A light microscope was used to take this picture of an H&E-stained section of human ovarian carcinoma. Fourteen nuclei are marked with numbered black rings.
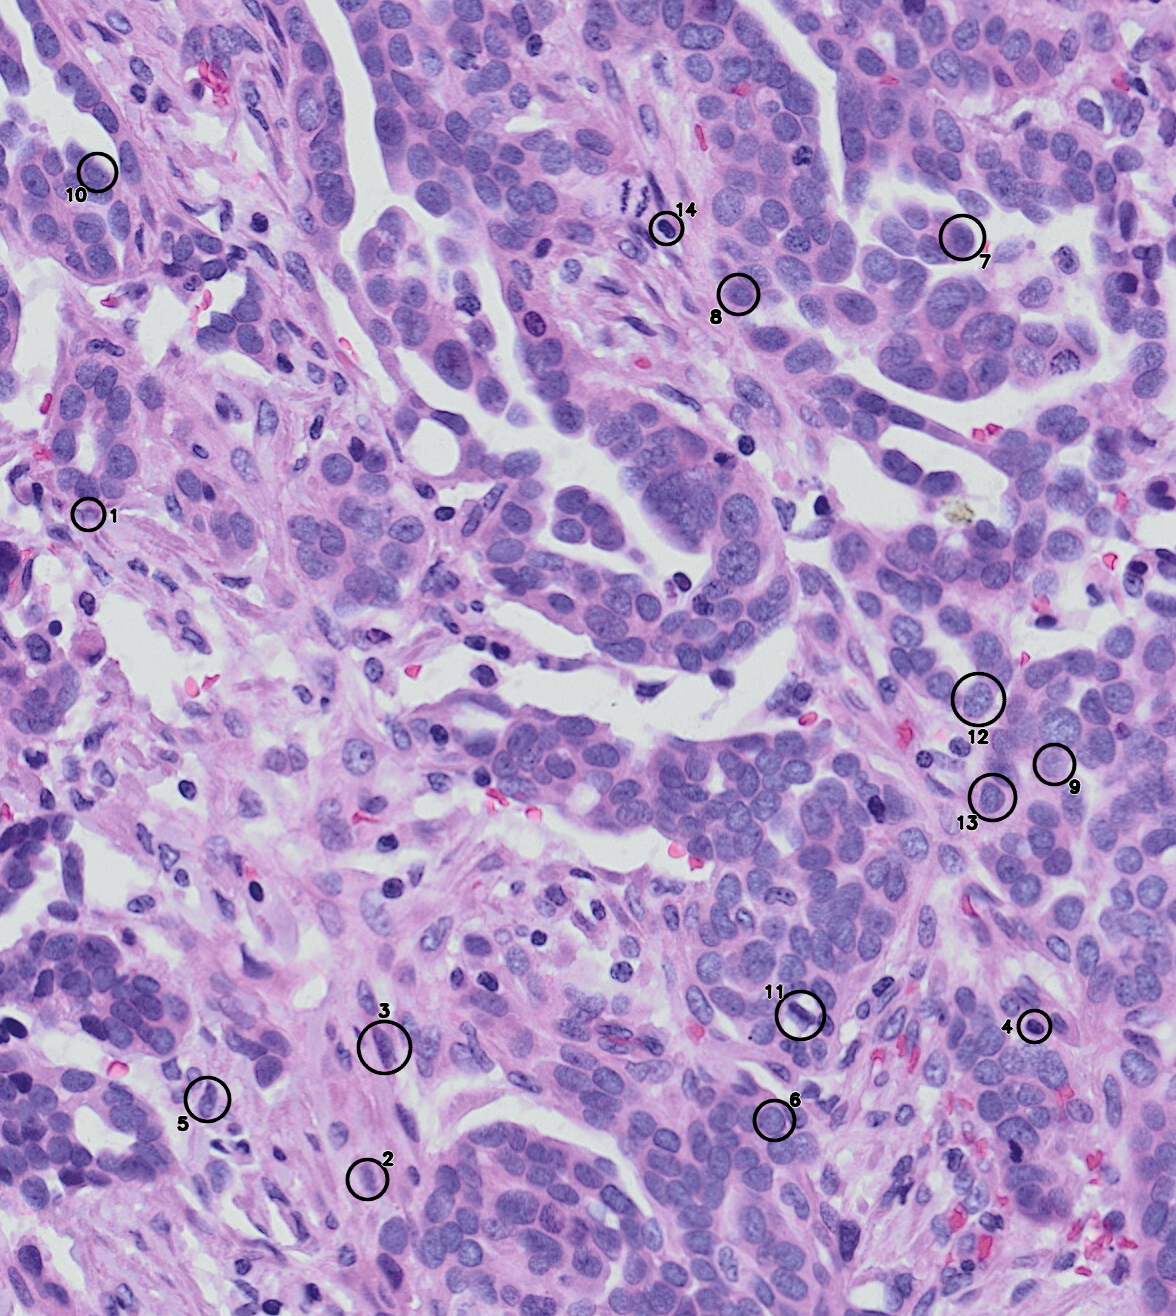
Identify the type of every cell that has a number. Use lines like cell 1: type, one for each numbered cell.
cell 1: fibroblast
cell 2: fibroblast
cell 3: fibroblast
cell 4: lymphocyte
cell 5: fibroblast
cell 6: carcinoma cell
cell 7: carcinoma cell
cell 8: carcinoma cell
cell 9: carcinoma cell
cell 10: carcinoma cell
cell 11: carcinoma cell
cell 12: carcinoma cell
cell 13: carcinoma cell
cell 14: lymphocyte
